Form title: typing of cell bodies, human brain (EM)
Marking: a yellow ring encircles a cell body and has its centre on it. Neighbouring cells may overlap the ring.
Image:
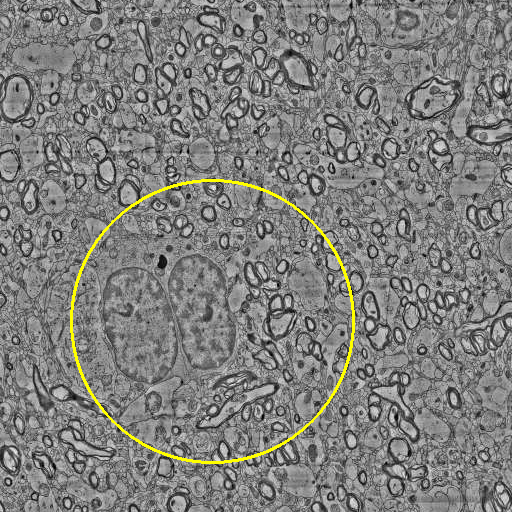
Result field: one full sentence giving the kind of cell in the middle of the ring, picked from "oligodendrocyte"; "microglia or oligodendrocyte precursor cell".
In the picture, the ring is centred on an oligodendrocyte, whose cell body it encircles.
